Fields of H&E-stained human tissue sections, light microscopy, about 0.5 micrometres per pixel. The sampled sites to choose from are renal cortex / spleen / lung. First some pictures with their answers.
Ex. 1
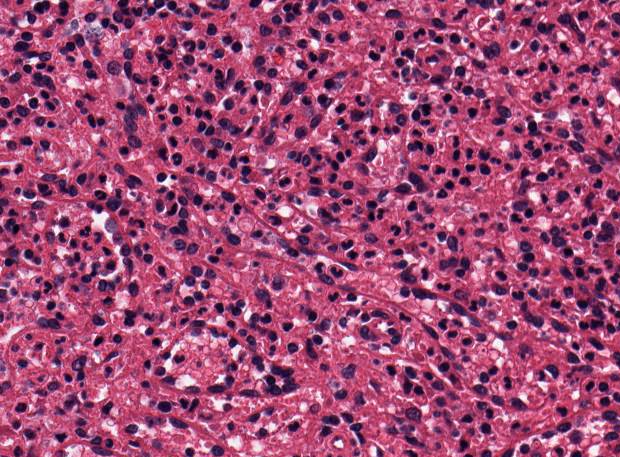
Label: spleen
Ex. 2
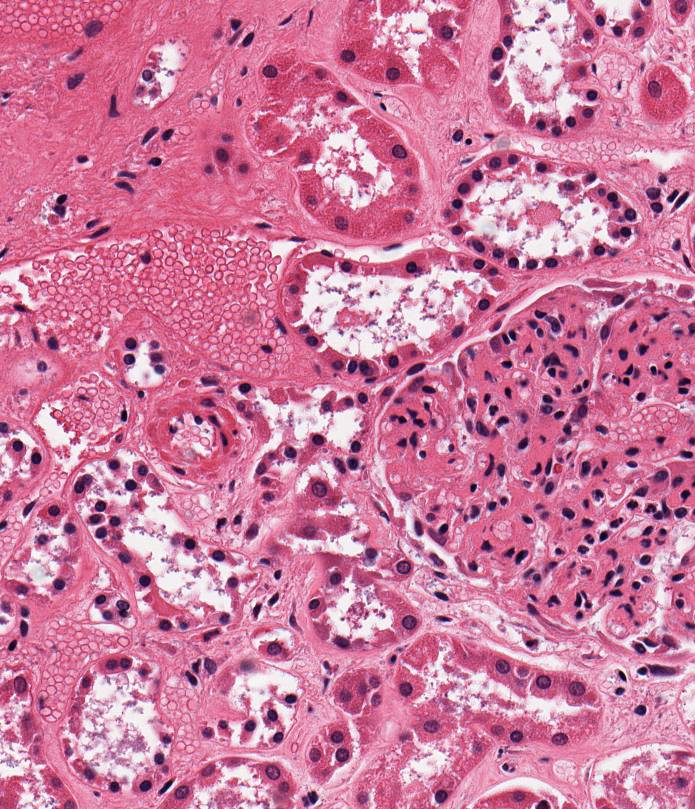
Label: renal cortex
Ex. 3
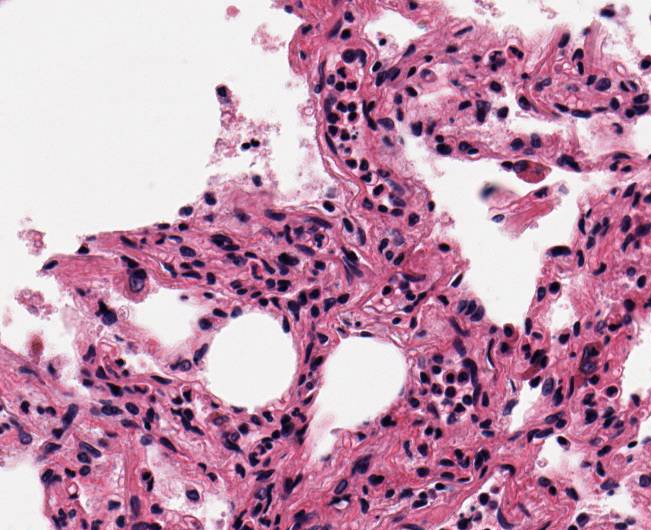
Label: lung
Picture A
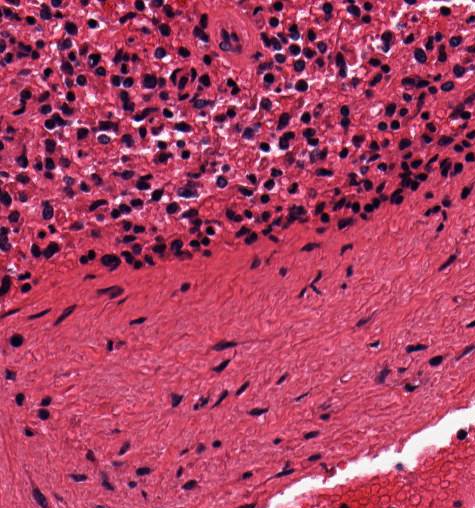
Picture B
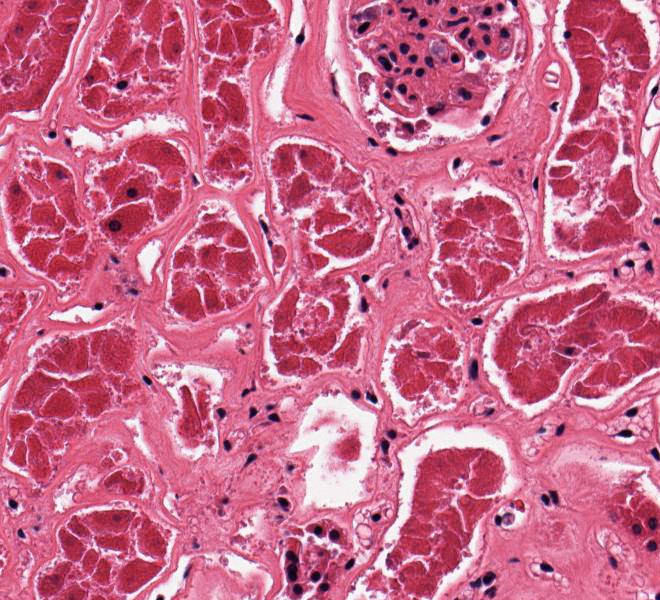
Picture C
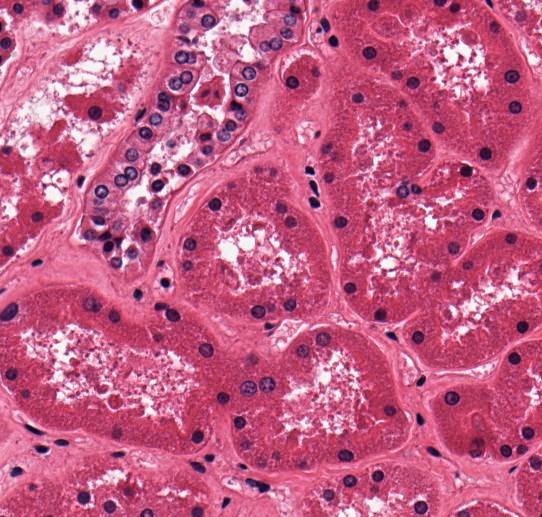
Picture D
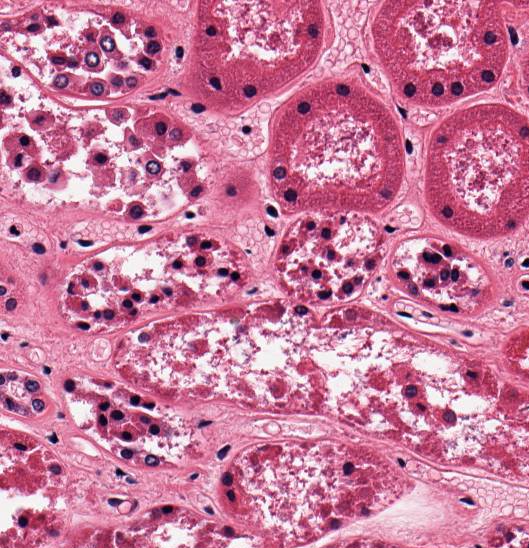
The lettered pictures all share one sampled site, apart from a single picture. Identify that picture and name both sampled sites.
Exception: A, showing spleen. Remaining pictures: renal cortex.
